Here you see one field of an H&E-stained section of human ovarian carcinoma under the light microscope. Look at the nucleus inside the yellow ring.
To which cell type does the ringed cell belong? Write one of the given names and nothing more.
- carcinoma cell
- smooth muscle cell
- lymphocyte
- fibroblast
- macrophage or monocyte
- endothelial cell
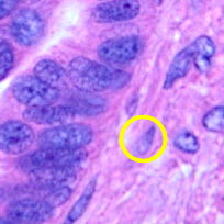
fibroblast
